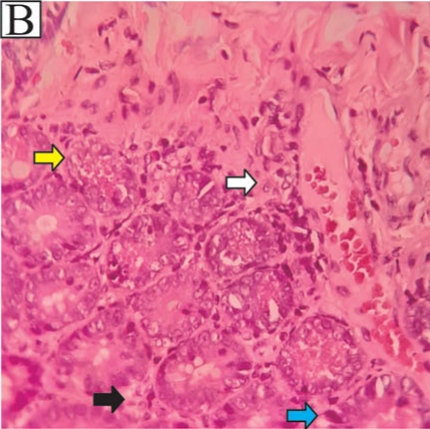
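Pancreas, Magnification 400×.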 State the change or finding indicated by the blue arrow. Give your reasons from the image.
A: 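Pyknotic cells. Small, dense, dark nuclei lie near the arrow at the lower edge.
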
